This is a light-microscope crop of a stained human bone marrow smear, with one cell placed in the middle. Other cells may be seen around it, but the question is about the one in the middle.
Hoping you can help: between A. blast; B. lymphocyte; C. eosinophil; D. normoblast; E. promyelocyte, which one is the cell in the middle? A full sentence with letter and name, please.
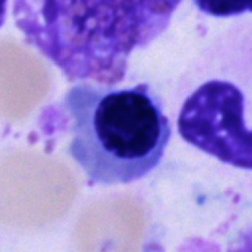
The correct option here is D; the middle cell is a normoblast.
